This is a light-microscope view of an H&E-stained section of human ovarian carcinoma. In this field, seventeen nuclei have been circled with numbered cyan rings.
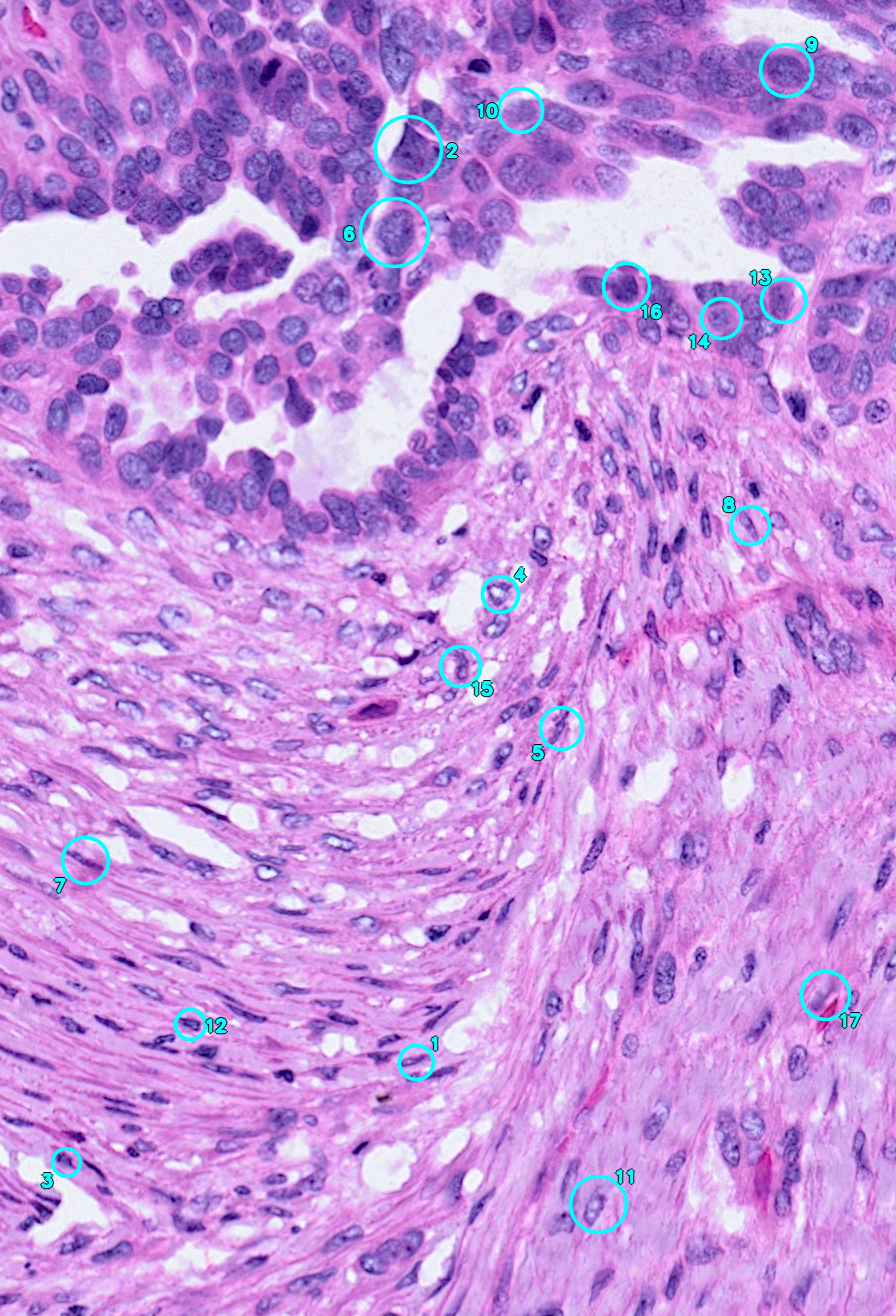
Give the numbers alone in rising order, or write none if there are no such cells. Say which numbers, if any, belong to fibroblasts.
1, 3, 4, 5, 7, 8, 11, 12, 15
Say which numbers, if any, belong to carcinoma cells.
2, 6, 9, 10, 13, 14, 16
